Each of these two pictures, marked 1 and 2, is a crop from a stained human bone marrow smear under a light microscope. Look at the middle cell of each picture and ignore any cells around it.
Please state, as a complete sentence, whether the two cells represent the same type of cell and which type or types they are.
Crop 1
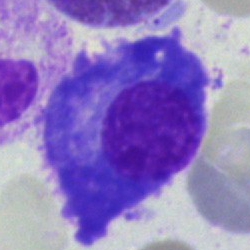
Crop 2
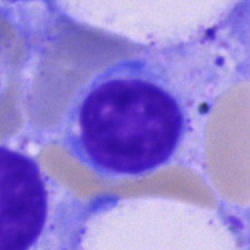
No, the cell at the middle of crop 1 is a plasma cell, while crop 2 centres on a lymphocyte.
